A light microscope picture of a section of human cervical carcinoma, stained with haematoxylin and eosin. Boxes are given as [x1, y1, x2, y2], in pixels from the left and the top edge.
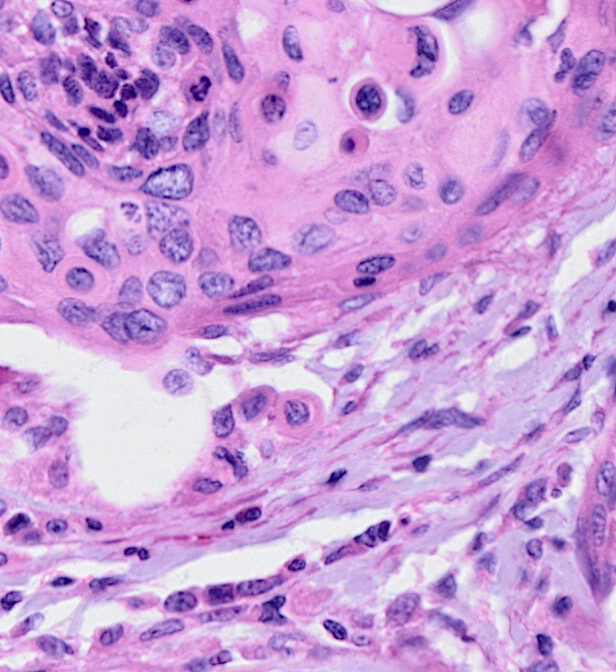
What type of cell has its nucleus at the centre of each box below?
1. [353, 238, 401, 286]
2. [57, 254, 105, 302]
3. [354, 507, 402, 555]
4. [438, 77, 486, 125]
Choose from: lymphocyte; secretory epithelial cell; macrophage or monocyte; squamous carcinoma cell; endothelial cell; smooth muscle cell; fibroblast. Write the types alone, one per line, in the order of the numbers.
squamous carcinoma cell
squamous carcinoma cell
lymphocyte
squamous carcinoma cell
